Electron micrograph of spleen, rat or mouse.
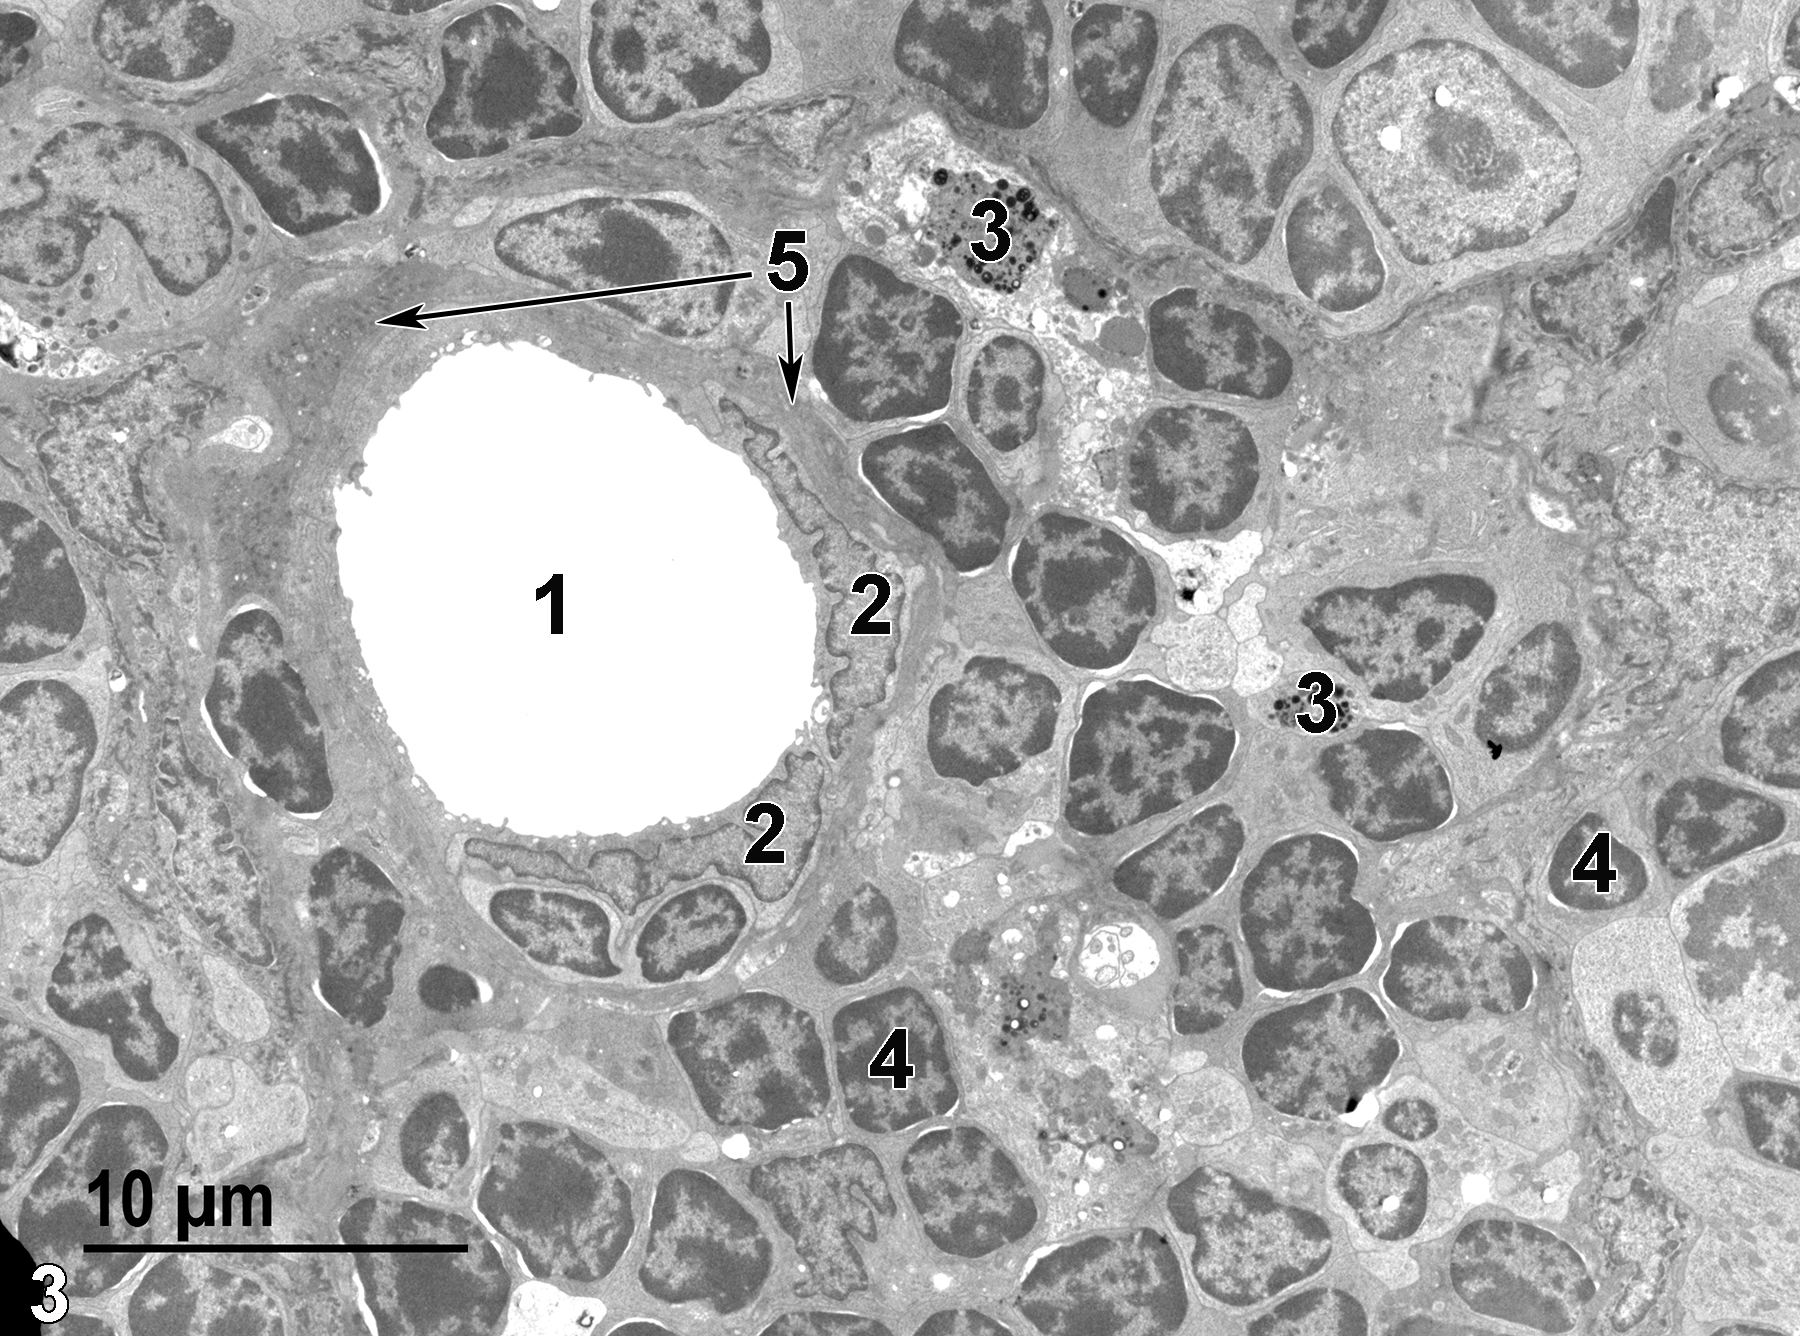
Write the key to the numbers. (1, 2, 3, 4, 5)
1: central arteriole lumen
2: endothelial cells
3: macrophages
4: lymphocytes
5: smooth muscle cells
